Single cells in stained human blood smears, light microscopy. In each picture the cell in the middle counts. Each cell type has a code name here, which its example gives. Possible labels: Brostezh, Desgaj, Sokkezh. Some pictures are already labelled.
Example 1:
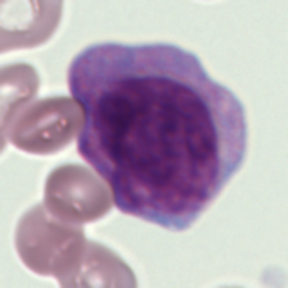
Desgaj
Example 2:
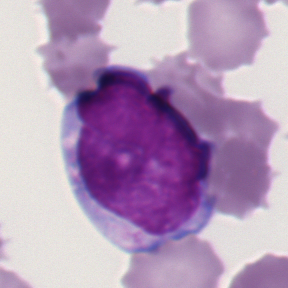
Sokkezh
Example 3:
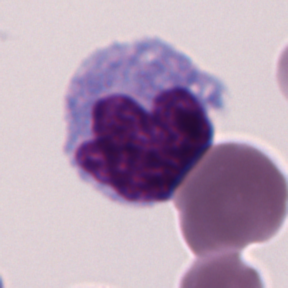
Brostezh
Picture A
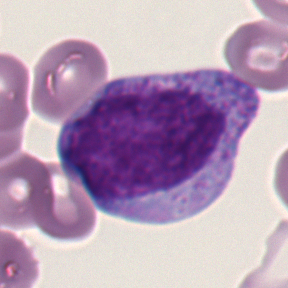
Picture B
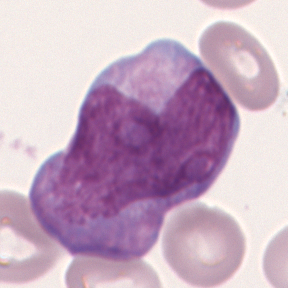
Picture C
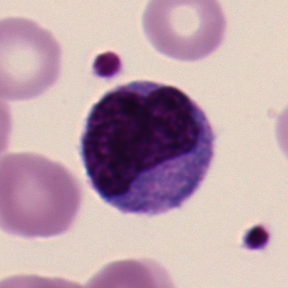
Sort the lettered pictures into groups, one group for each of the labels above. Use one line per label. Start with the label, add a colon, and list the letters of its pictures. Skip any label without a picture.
Brostezh: C
Desgaj: A, B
